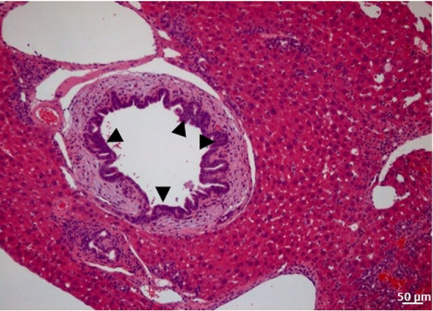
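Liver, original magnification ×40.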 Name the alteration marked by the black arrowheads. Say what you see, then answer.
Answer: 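The arrowheads point to a folded, thickened epithelial lining of a dilated duct.
Hence: epithelial hyperplasia.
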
